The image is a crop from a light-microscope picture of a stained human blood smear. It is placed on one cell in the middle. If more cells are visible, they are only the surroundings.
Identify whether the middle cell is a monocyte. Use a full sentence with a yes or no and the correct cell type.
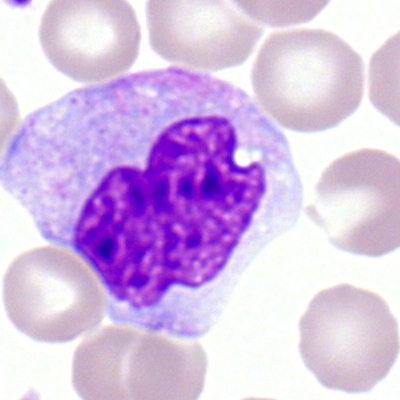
Yes, it is a monocyte that is seen at the centre of the crop.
